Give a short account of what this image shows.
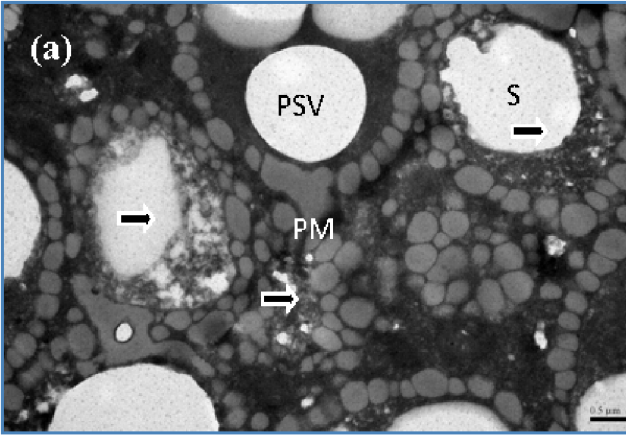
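One large body is evenly pale and smoothly round. Other large pale bodies have irregular outlines and carry flocculent, granular material along their margins. The small grey bodies lie close together, often in curved rows that follow the outlines of the larger bodies. A darker, finely granular matrix fills the spaces between all of these bodies, forming irregular dark strands and patches.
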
